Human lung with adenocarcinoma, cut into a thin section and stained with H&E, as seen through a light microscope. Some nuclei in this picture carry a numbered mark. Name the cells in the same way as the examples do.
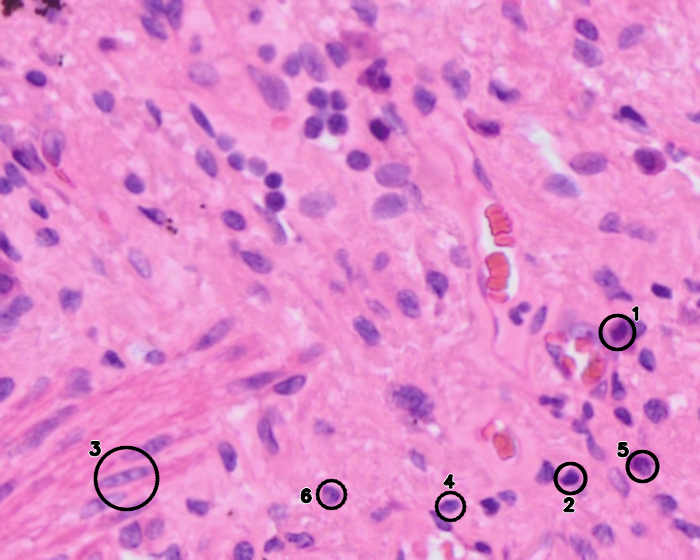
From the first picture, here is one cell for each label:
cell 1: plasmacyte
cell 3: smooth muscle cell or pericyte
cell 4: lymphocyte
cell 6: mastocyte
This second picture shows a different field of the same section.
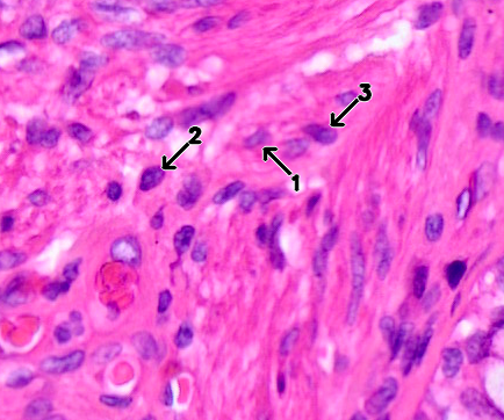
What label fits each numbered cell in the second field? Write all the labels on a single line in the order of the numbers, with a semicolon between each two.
smooth muscle cell or pericyte; mastocyte; smooth muscle cell or pericyte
